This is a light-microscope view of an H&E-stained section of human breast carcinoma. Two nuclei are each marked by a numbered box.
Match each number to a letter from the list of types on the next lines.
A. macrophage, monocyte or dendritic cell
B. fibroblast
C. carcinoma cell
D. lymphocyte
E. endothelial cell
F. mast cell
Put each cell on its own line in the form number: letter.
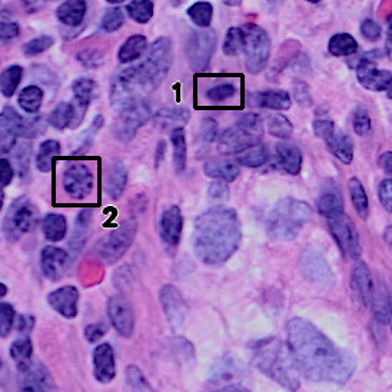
1: D
2: F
